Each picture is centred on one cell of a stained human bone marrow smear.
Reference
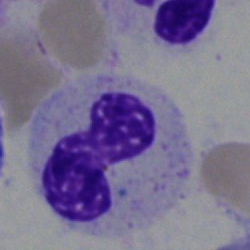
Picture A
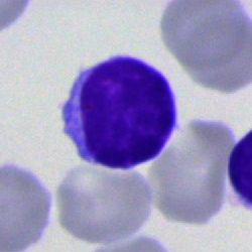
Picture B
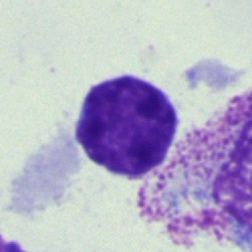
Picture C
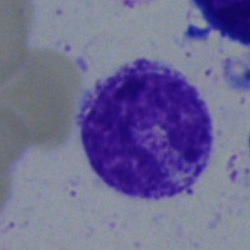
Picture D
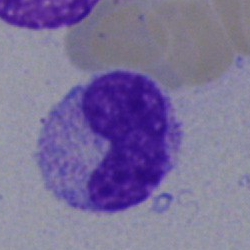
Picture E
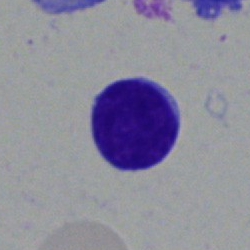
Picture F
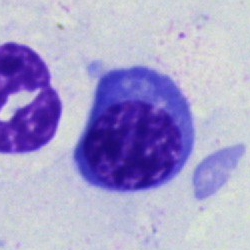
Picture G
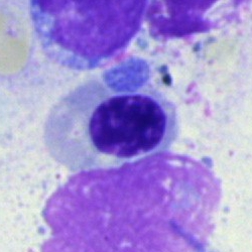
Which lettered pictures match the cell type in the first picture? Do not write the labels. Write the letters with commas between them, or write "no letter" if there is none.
C, D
